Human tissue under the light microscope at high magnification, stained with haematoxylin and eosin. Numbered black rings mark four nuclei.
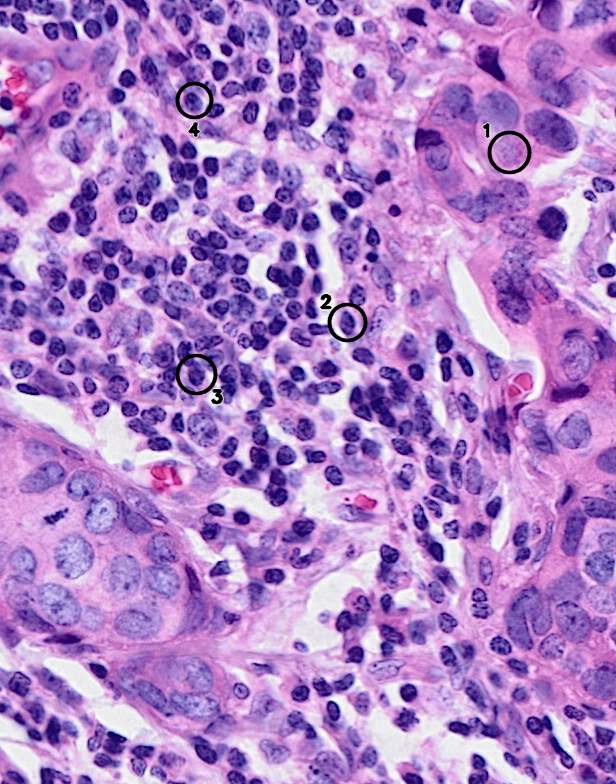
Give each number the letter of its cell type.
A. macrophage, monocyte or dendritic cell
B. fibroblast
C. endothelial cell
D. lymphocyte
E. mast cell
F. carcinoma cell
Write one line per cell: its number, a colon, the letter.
1: F
2: D
3: D
4: D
